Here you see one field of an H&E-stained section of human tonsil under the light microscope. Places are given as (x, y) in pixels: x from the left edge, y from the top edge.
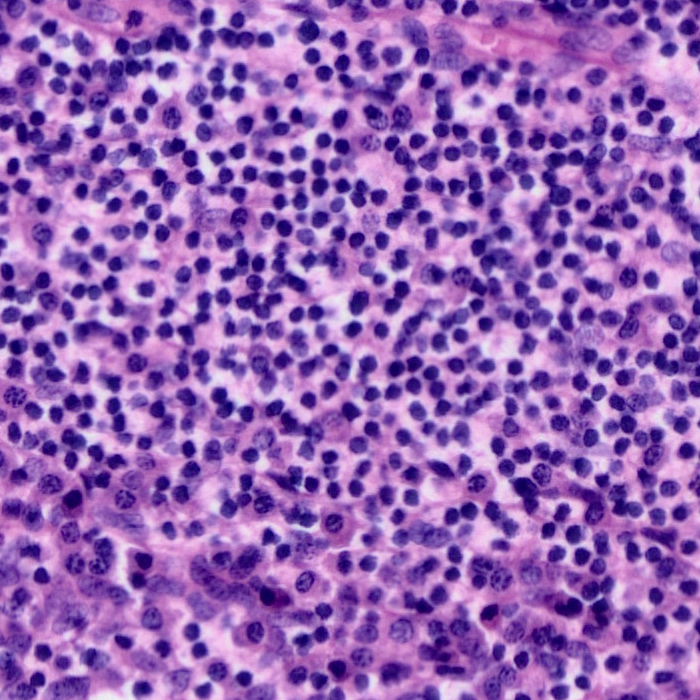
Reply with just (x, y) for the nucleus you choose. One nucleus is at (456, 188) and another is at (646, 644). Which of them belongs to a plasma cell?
(646, 644)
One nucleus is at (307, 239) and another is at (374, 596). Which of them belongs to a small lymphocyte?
(307, 239)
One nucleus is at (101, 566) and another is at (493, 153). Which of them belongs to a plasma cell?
(101, 566)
